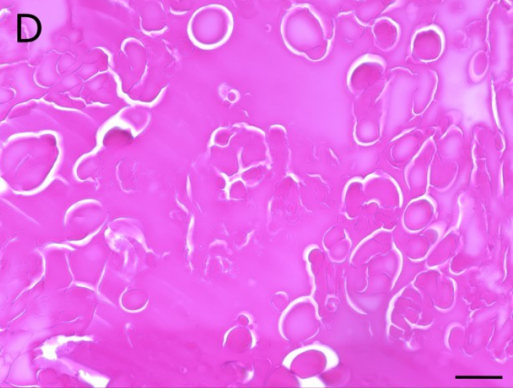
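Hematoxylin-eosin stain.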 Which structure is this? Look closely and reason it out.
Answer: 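Morgagnian globules. Many round, sharply outlined pink globules of varying size. Globules lie in a homogeneous pink background without nuclei.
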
